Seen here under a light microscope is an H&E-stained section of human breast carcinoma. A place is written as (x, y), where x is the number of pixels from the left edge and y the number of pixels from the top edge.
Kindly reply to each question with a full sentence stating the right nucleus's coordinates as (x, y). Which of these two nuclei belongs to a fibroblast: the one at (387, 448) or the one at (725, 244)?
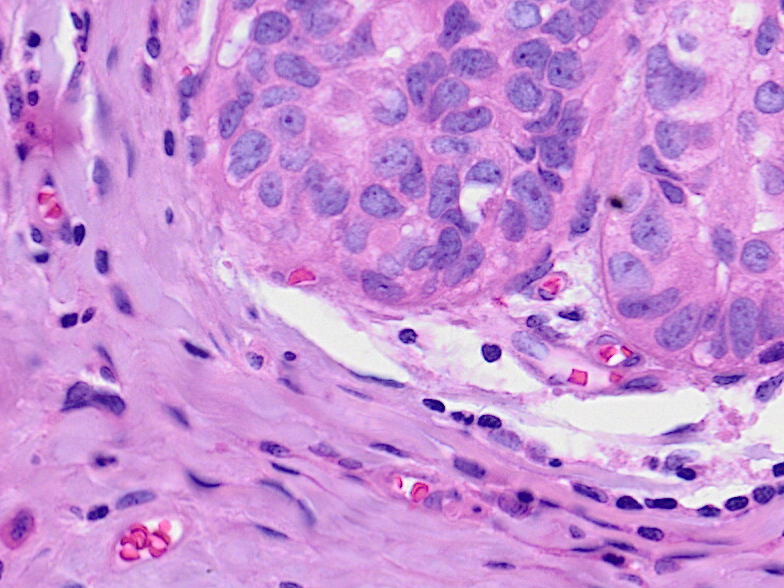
The nucleus that belongs to a fibroblast sits at (387, 448).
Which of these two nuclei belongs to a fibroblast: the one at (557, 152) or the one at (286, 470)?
Answering which nucleus it is: the one at (286, 470), belonging to a fibroblast.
